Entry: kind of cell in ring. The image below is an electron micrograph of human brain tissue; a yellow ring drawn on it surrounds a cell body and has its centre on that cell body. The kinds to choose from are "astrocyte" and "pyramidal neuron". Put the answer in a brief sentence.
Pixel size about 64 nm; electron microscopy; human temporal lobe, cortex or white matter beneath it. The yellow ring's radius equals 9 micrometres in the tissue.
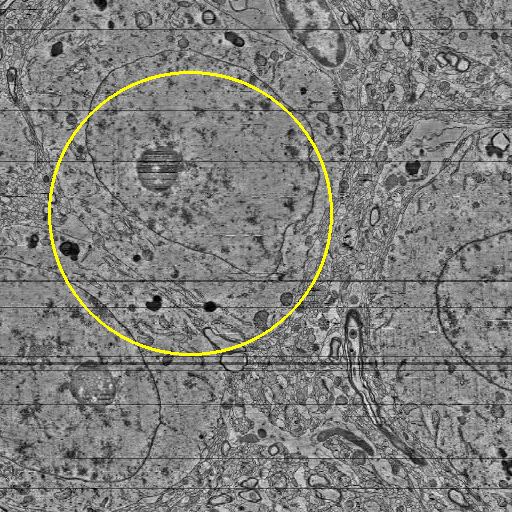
The ring has been drawn around a pyramidal neuron.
